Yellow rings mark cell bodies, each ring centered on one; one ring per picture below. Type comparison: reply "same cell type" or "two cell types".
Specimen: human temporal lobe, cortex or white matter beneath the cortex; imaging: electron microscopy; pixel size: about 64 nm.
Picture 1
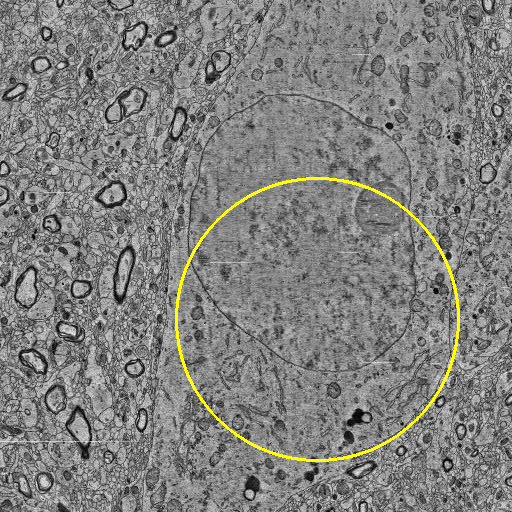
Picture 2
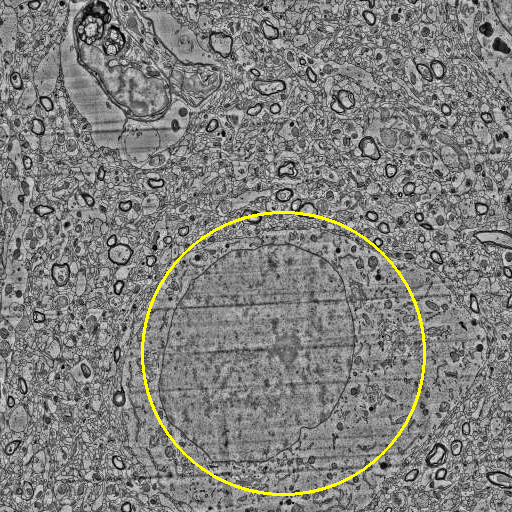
same cell type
